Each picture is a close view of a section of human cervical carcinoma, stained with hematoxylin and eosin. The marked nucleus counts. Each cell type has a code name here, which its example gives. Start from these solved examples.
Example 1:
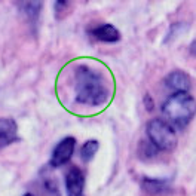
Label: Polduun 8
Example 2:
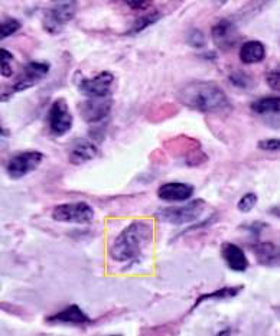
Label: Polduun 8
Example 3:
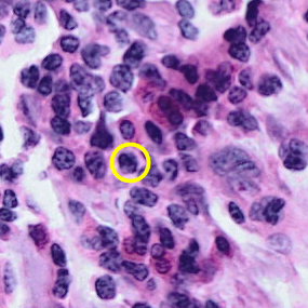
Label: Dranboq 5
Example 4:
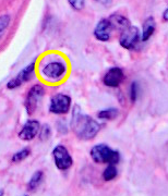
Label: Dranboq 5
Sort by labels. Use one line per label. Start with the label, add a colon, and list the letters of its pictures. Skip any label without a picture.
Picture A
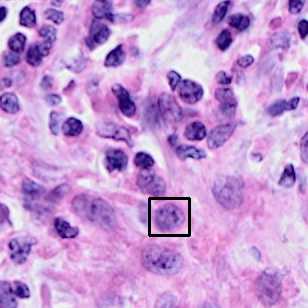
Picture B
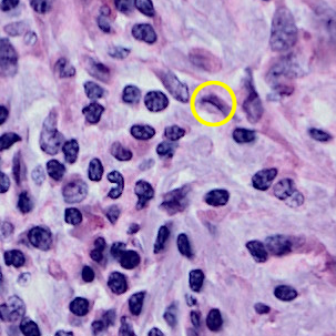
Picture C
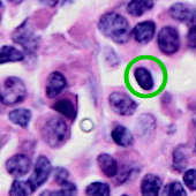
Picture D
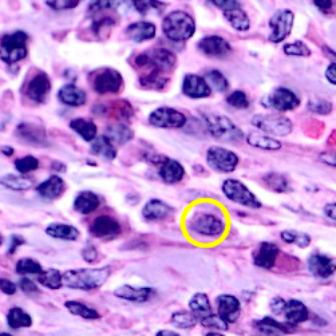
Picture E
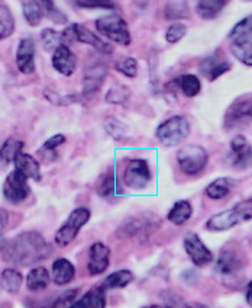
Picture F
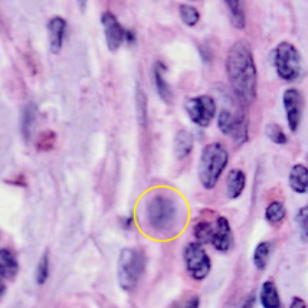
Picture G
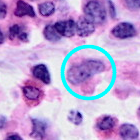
Polduun 8: A, B, D, F, G
Dranboq 5: C, E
